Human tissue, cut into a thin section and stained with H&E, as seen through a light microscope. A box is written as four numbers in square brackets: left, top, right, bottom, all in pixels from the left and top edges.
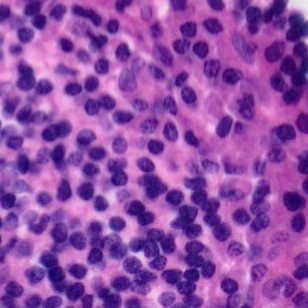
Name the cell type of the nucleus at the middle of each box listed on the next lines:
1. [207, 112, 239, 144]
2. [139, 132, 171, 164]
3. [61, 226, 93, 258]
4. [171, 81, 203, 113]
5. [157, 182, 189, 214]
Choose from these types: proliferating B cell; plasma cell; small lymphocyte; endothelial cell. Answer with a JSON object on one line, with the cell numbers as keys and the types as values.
{"1": "plasma cell", "2": "small lymphocyte", "3": "small lymphocyte", "4": "plasma cell", "5": "small lymphocyte"}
